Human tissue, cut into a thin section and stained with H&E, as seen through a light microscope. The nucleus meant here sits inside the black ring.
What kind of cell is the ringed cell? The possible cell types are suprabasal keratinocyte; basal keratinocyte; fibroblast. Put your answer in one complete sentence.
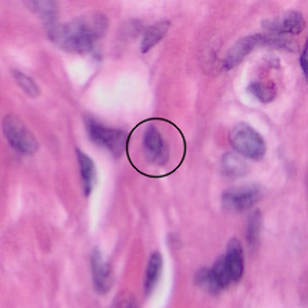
In this section of tissue, the ringed cell is a fibroblast.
